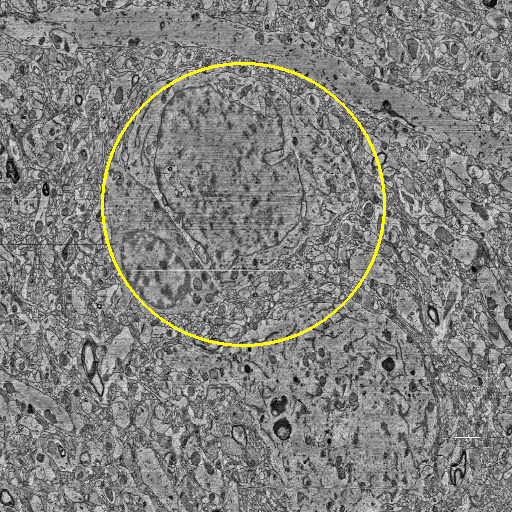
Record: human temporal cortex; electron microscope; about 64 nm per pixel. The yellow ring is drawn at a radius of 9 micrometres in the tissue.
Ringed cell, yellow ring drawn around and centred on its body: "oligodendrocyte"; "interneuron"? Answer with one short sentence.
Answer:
This ringed cell is an interneuron.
